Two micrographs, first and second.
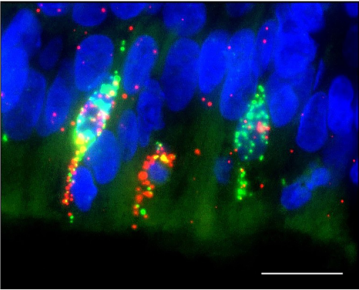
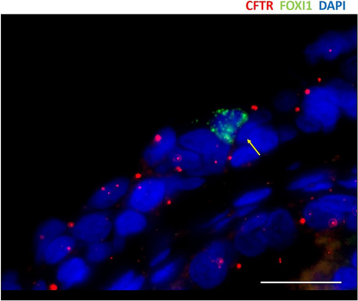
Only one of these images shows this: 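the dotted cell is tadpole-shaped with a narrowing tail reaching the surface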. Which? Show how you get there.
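The first image. Second image: the green-dotted cell is a compact rounded cluster without a tail. First image: the dotted cells are elongated and taper into a narrow tail.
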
